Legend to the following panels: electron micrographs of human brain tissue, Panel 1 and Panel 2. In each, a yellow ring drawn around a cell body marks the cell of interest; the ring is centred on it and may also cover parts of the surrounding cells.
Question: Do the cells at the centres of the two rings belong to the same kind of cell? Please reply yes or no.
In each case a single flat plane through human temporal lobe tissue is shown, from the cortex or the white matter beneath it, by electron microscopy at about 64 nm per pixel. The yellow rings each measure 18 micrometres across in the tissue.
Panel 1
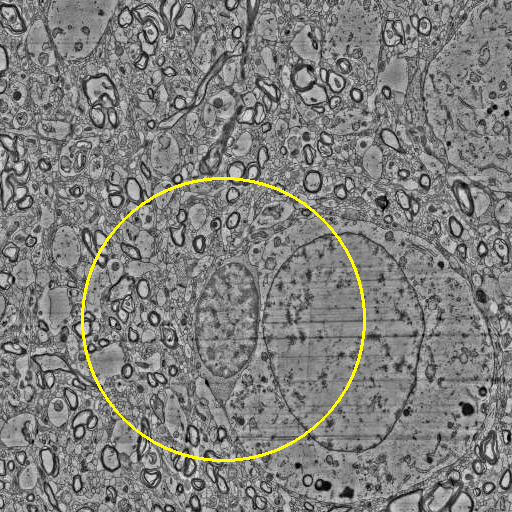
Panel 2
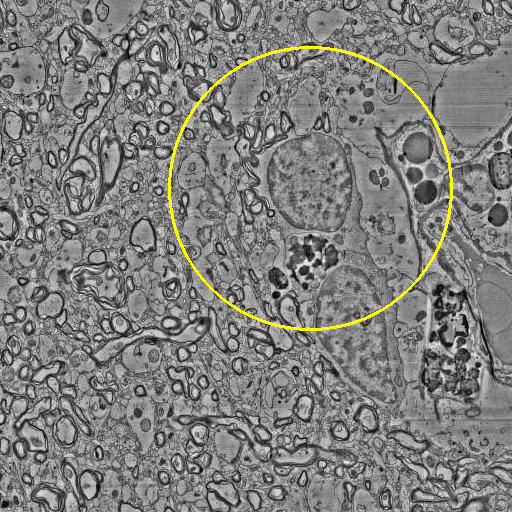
yes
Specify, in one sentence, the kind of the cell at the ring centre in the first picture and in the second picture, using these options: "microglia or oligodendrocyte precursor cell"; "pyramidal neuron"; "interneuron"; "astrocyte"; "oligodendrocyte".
Each of the ringed cells, first and second, is an oligodendrocyte.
